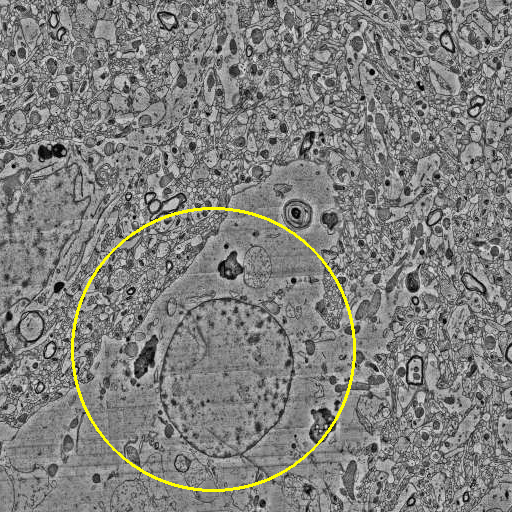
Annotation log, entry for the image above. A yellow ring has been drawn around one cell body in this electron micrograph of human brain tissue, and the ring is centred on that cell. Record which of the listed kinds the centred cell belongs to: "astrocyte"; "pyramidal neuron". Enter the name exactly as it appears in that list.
astrocyte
